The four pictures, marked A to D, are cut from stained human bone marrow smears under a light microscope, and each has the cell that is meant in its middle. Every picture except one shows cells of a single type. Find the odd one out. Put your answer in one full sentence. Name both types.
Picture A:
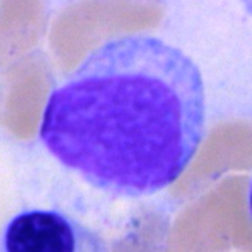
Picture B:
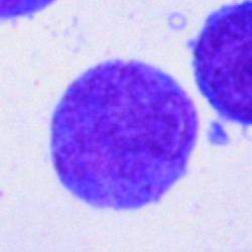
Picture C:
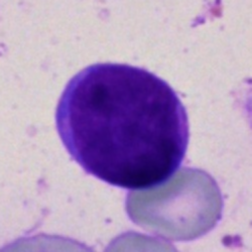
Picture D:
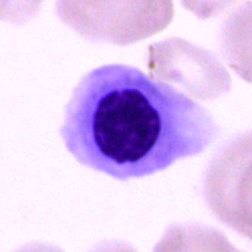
All pictures except D show blasts; picture D shows an erythroblast.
